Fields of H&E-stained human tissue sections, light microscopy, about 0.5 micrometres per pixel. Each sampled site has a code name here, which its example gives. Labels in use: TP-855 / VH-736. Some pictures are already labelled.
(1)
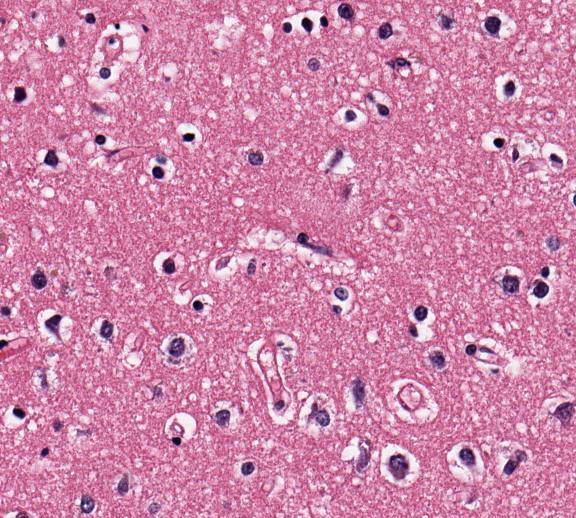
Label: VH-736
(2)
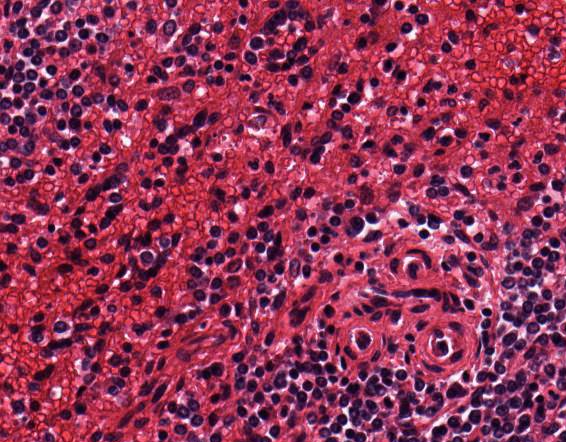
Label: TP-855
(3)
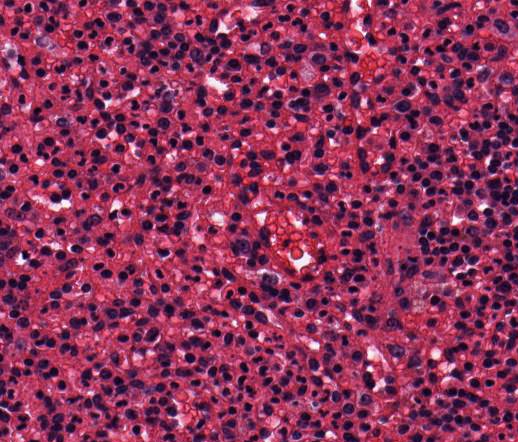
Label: TP-855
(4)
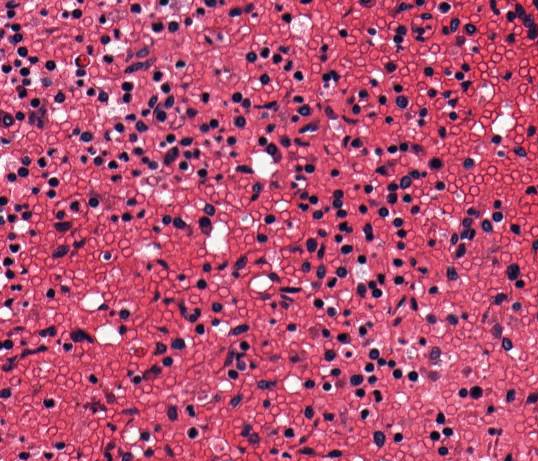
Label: TP-855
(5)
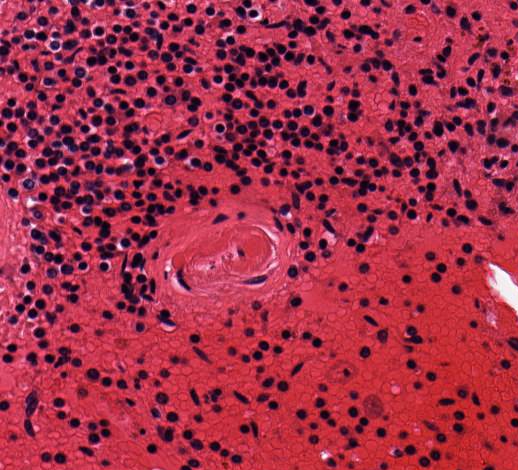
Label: TP-855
